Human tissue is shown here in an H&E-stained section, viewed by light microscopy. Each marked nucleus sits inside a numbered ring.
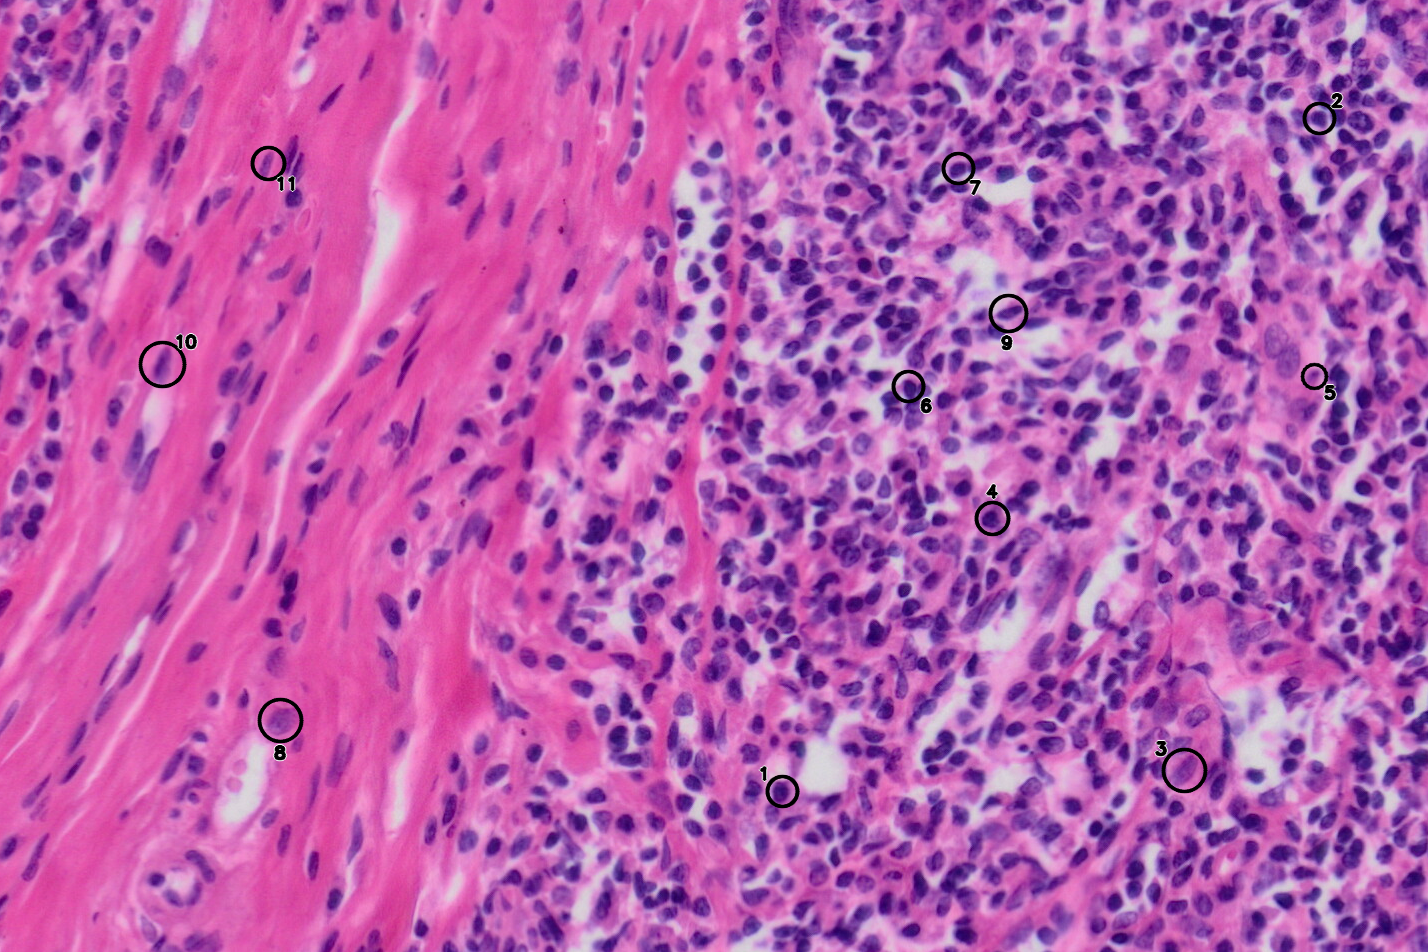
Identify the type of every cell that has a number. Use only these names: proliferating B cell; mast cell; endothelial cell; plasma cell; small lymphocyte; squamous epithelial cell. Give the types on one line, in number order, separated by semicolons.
plasma cell; small lymphocyte; endothelial cell; plasma cell; endothelial cell; small lymphocyte; small lymphocyte; endothelial cell; small lymphocyte; endothelial cell; mast cell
